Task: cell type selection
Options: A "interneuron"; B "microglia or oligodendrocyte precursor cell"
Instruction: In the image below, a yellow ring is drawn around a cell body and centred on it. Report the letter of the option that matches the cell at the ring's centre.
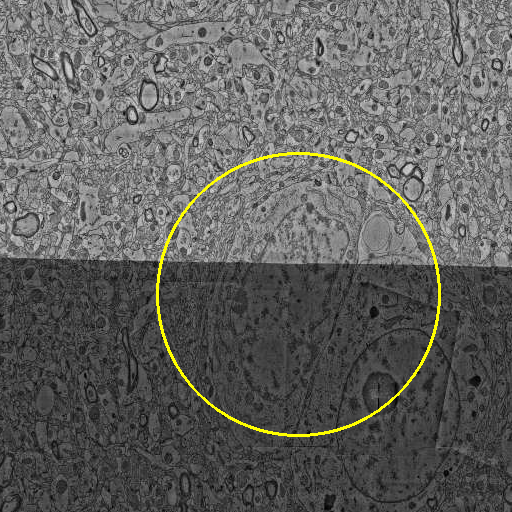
A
